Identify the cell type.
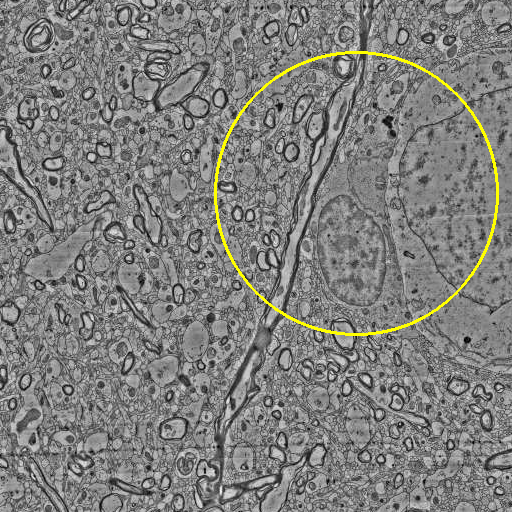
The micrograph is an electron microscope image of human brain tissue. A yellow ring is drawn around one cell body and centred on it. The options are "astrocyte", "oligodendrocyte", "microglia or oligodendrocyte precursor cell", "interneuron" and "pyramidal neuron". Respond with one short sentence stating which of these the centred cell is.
The cell body in the ring belongs to an oligodendrocyte.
